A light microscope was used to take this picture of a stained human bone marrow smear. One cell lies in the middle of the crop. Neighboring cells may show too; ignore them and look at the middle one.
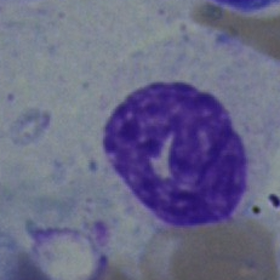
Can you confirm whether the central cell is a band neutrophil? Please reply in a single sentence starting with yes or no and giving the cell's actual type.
Yes, the middle cell in this crop is a band neutrophil.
